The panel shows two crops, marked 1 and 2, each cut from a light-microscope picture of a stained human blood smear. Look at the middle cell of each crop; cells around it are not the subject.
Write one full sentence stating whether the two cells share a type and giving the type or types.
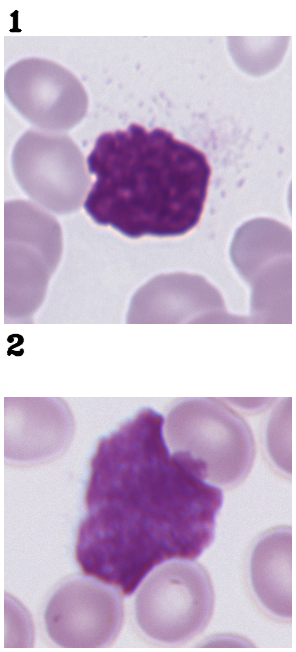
Yes, put down smudge cells for both crops.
